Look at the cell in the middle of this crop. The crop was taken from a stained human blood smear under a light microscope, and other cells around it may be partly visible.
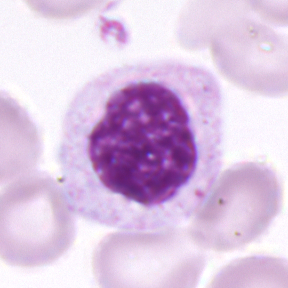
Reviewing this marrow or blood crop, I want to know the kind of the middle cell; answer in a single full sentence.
The cell at the middle of the frame should be recorded as a metamyelocyte.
